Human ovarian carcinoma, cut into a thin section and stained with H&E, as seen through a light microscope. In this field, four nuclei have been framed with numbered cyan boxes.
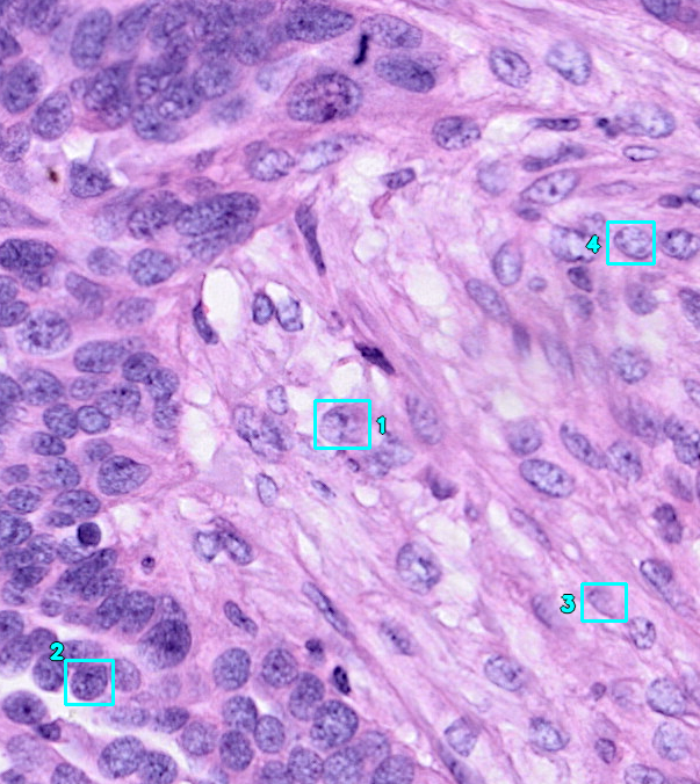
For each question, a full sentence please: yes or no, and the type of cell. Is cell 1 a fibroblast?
Yes, looking at number 1, that cell is a fibroblast.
